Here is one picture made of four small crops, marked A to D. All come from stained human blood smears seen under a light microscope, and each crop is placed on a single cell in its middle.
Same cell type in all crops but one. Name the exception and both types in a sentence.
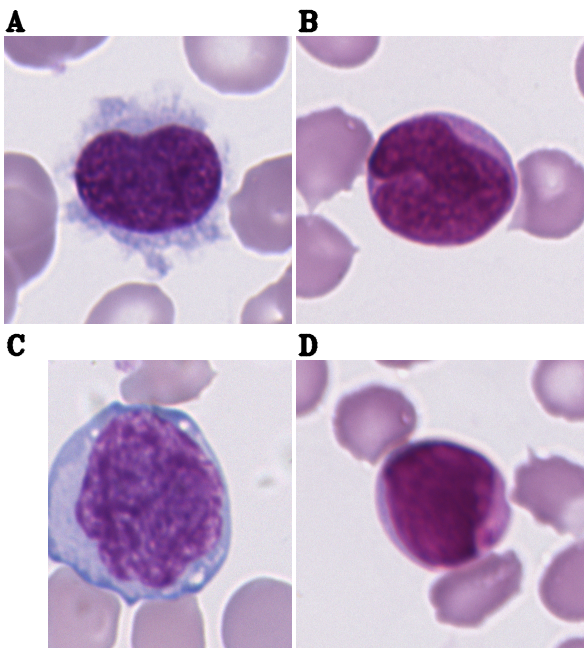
Crop A is singled out as a hairy cell, and all of the other crops show myeloblasts.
